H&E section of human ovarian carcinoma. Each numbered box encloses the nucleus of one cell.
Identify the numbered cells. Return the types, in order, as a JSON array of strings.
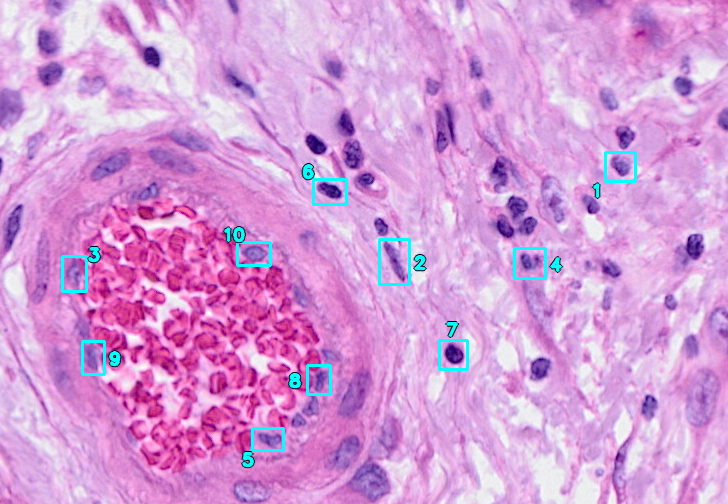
["lymphocyte", "fibroblast", "endothelial cell", "lymphocyte", "endothelial cell", "lymphocyte", "lymphocyte", "endothelial cell", "endothelial cell", "endothelial cell"]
